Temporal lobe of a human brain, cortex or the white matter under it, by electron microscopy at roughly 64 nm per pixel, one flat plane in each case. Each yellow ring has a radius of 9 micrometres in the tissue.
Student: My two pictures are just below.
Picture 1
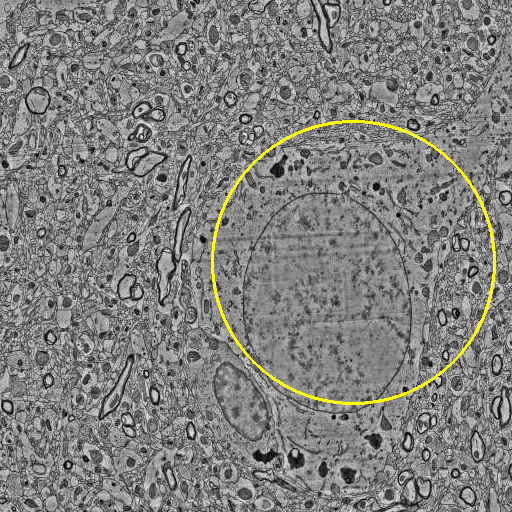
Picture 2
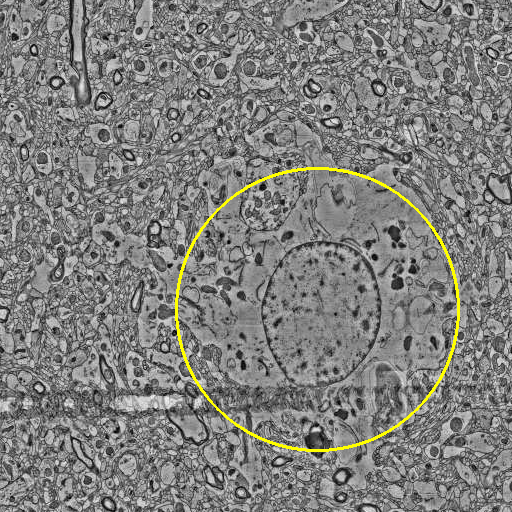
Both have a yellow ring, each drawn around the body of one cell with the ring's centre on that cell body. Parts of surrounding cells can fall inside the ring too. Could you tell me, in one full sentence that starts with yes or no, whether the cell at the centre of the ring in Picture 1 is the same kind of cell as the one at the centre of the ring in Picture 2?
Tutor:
No, the two cells are of two kinds.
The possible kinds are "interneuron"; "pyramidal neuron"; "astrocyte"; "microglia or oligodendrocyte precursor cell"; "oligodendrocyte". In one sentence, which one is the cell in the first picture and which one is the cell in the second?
The cell ringed in the second picture is an astrocyte, whereas the one ringed in the first is a pyramidal neuron.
